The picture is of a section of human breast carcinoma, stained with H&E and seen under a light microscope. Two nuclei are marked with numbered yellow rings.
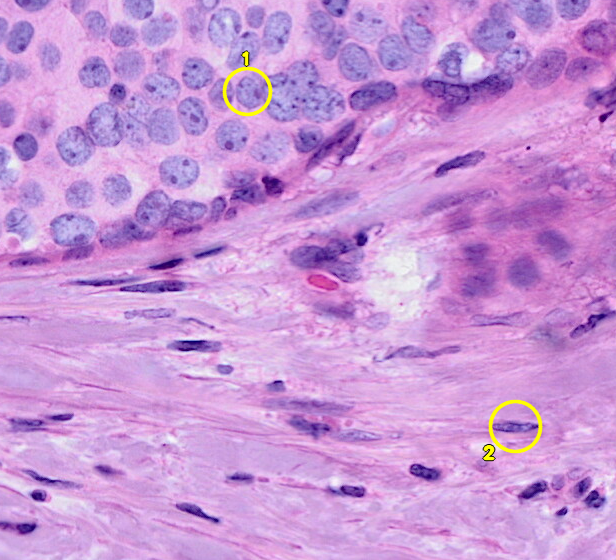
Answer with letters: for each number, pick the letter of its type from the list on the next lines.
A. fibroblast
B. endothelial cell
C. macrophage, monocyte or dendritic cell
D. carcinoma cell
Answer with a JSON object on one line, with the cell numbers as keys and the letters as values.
{"1": "D", "2": "A"}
